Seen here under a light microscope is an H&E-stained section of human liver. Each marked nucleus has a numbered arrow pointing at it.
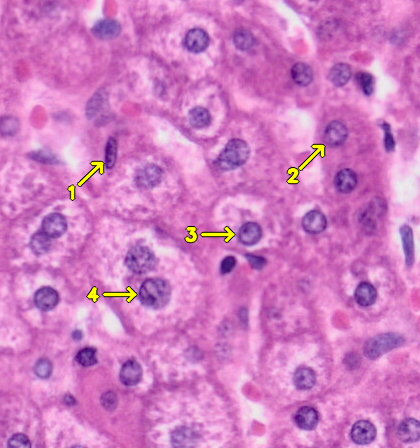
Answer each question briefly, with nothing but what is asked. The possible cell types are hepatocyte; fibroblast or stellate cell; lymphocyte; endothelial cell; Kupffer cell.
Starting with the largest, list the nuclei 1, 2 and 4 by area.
4, 2, 1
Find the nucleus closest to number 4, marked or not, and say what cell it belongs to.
hepatocyte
